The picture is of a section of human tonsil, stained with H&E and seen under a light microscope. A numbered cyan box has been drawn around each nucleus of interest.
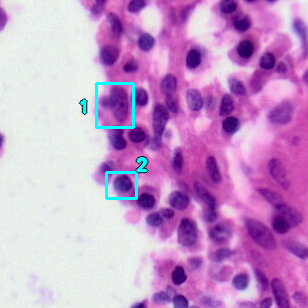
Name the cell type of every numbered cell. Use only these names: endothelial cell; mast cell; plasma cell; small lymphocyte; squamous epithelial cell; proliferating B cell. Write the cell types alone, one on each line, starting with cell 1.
squamous epithelial cell
plasma cell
